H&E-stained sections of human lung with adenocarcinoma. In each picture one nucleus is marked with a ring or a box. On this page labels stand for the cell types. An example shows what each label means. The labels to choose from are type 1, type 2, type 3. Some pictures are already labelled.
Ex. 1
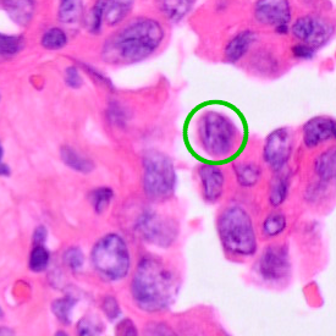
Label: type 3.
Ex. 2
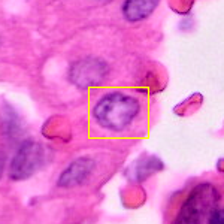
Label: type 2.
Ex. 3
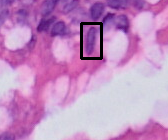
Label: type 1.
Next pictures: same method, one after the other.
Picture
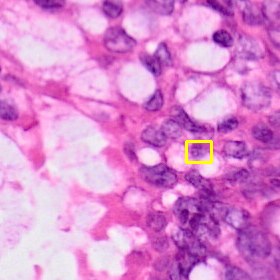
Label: type 1.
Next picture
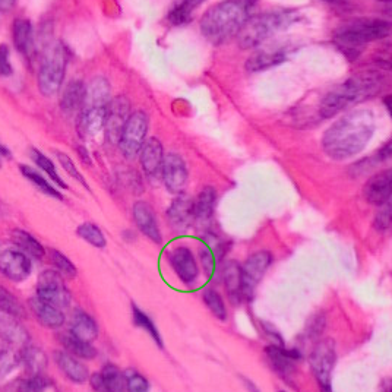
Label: type 1.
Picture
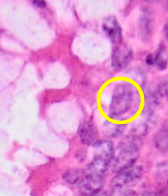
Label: type 1.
